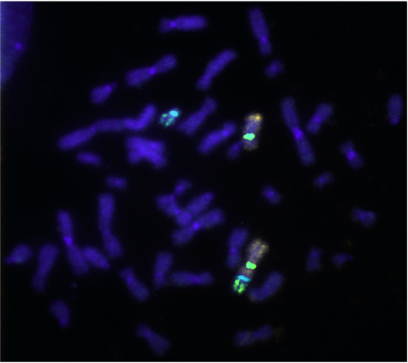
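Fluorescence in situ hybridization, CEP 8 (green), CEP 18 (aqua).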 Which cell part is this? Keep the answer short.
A: Metaphase chromosomes.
